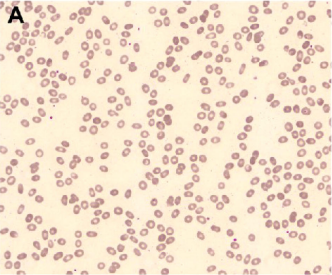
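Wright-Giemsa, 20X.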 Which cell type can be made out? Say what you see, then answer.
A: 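Many small, evenly scattered disc-shaped cells without nuclei. Cells stain pale pinkish-grey. The answer: erythrocyte.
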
